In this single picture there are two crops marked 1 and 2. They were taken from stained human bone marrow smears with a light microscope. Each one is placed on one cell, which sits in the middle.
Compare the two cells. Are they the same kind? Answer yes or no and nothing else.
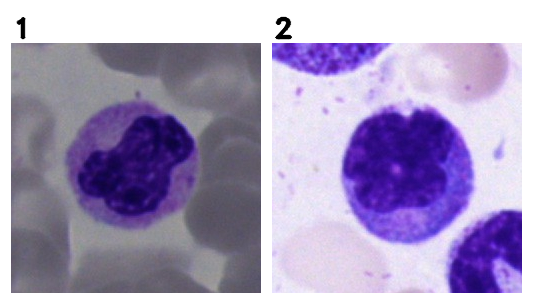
no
